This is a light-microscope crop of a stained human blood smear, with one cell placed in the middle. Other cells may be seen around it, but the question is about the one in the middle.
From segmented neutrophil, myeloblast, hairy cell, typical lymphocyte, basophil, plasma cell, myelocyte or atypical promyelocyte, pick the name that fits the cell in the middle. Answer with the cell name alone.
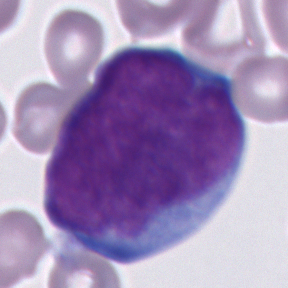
myeloblast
